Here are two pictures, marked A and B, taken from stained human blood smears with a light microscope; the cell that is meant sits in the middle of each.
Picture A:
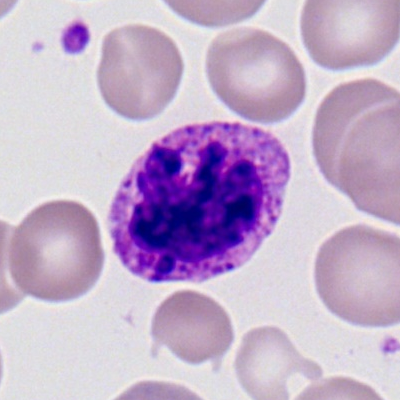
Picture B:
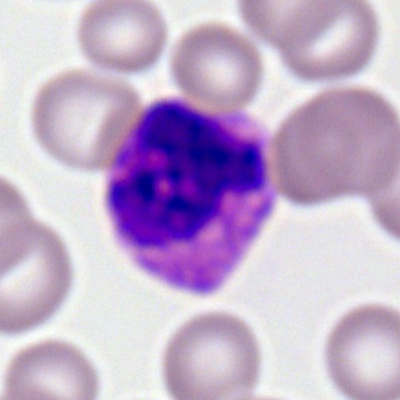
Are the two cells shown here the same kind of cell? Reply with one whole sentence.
Yes, the two pictures both show basophils.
